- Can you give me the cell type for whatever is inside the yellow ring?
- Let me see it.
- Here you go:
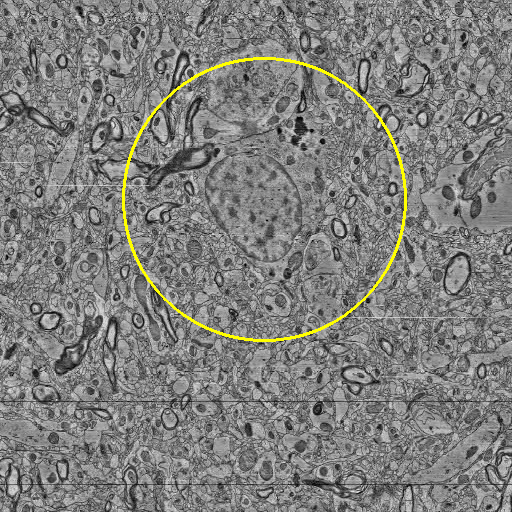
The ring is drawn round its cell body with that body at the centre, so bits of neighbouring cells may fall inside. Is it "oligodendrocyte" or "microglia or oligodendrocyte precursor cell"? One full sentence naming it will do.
The cell body in the middle of the ring in this picture belongs to an oligodendrocyte.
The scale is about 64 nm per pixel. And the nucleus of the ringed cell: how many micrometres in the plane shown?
Roughly 8 by 6 micrometres is the size of the nucleus in this plane.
